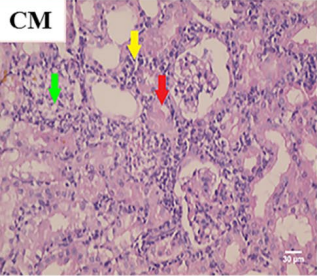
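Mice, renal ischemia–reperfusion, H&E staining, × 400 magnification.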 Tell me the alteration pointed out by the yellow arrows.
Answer: Inflammation.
